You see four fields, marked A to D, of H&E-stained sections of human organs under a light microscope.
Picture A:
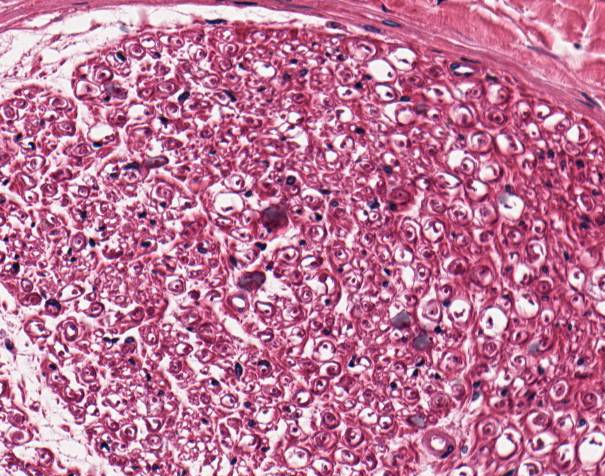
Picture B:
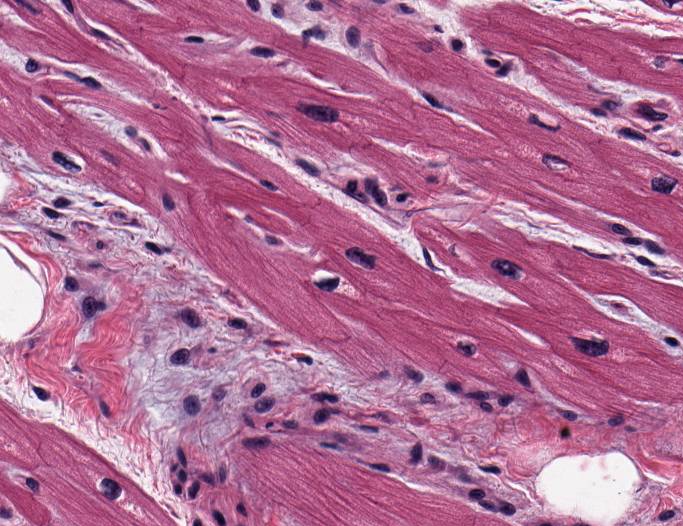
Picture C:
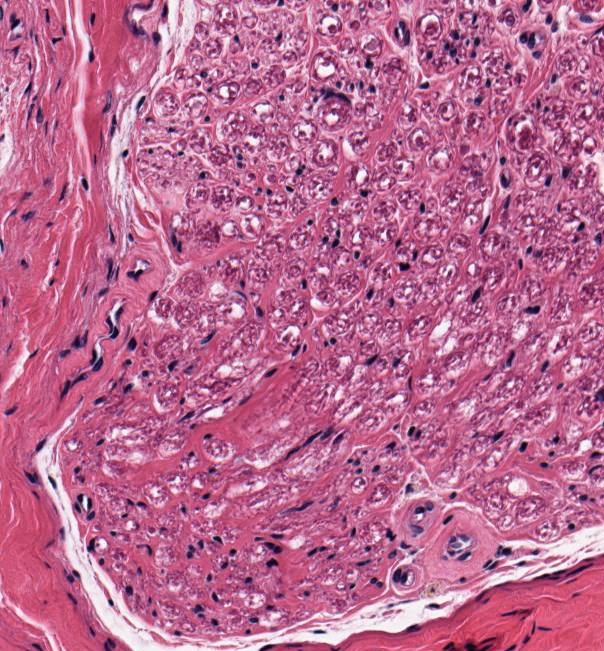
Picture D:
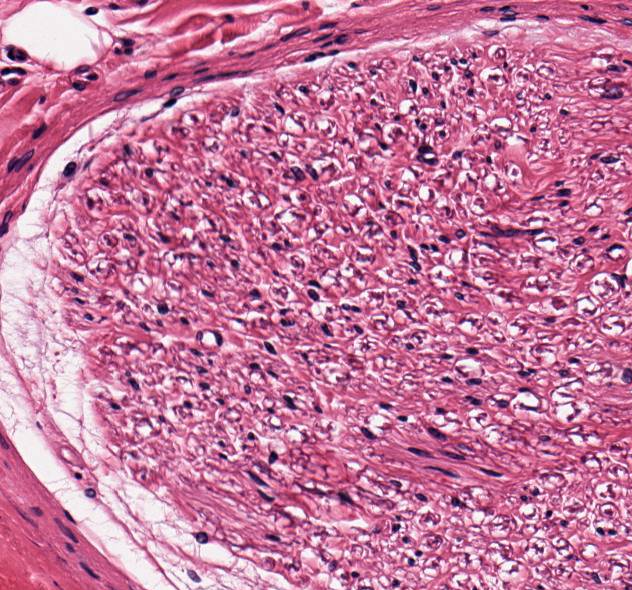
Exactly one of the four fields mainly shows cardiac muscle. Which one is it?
B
